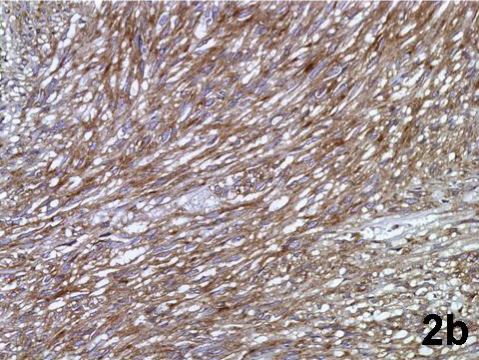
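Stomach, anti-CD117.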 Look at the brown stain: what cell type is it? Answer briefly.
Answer: neoplastic cells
